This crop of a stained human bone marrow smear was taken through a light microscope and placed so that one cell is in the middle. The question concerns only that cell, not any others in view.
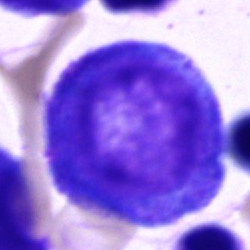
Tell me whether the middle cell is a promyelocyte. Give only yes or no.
yes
